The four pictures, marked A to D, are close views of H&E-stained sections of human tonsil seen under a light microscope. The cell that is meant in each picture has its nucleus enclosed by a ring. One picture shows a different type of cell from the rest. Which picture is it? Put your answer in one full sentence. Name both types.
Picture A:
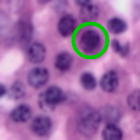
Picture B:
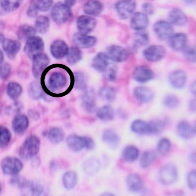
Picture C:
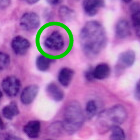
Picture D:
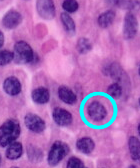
The different one is picture B; it shows a small lymphocyte, whereas all the others show plasma cells.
